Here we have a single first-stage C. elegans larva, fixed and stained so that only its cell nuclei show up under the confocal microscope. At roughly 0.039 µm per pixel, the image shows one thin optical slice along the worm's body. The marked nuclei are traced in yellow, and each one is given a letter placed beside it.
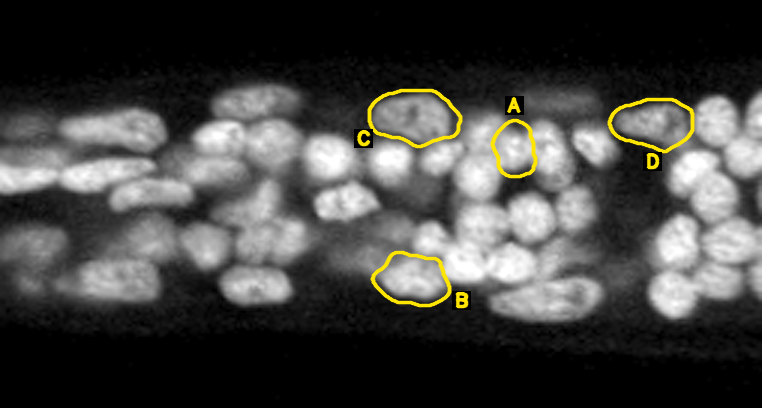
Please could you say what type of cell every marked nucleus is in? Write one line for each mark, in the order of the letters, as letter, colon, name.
A: neuron
B: neuron
C: body wall muscle cell
D: body wall muscle cell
